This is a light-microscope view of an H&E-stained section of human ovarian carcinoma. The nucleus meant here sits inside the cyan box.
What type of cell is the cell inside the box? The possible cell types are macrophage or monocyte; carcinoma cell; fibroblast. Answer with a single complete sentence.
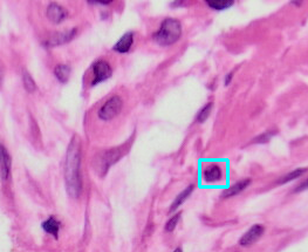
This is a fibroblast.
